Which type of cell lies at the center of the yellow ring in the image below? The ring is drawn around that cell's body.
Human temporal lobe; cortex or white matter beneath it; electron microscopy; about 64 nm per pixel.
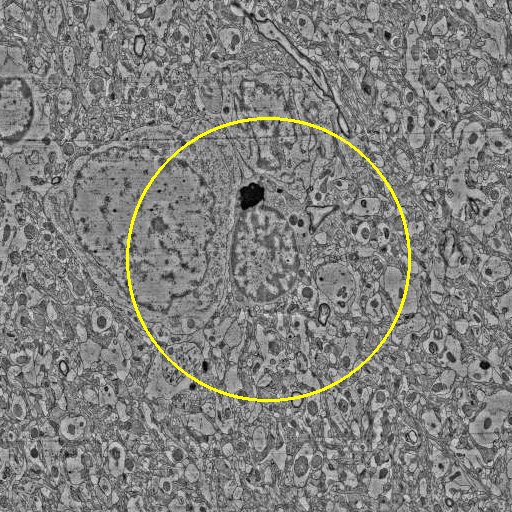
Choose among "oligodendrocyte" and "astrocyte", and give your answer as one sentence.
The cell body at the center belongs to an oligodendrocyte.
